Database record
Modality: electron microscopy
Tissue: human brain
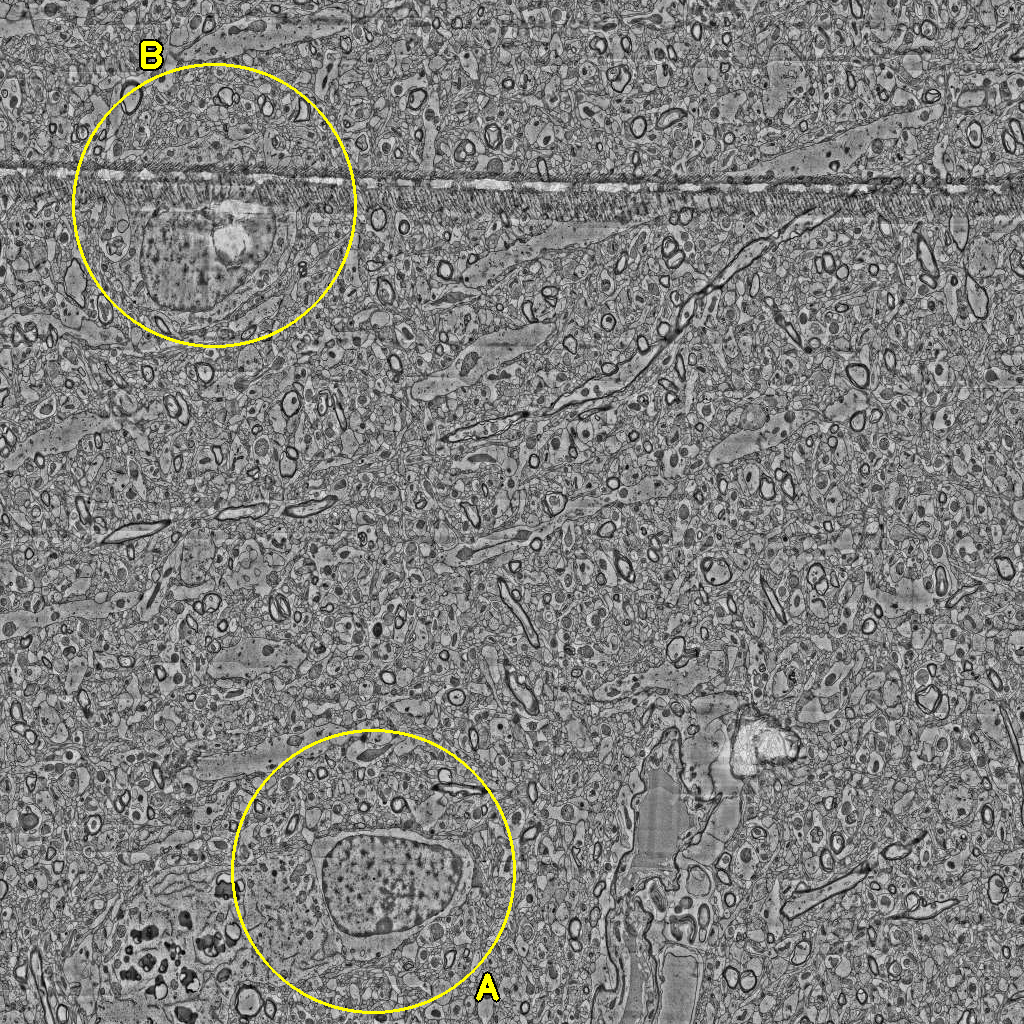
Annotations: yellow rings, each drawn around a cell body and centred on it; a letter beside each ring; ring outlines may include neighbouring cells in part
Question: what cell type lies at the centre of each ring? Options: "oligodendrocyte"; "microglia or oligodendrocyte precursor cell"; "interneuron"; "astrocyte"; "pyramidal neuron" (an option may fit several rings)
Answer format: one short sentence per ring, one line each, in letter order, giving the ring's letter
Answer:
Ring A corresponds to a microglial cell or oligodendrocyte precursor cell.
Ring B corresponds to an interneuron.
